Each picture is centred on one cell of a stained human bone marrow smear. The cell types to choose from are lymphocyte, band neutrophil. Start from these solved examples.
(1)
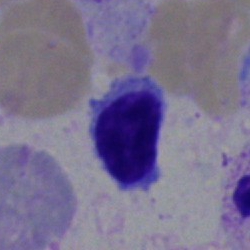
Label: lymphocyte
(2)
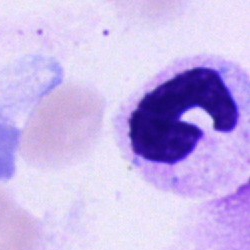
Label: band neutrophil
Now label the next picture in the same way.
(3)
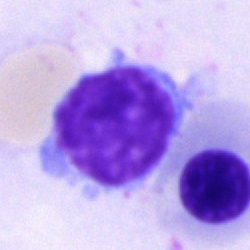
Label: lymphocyte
